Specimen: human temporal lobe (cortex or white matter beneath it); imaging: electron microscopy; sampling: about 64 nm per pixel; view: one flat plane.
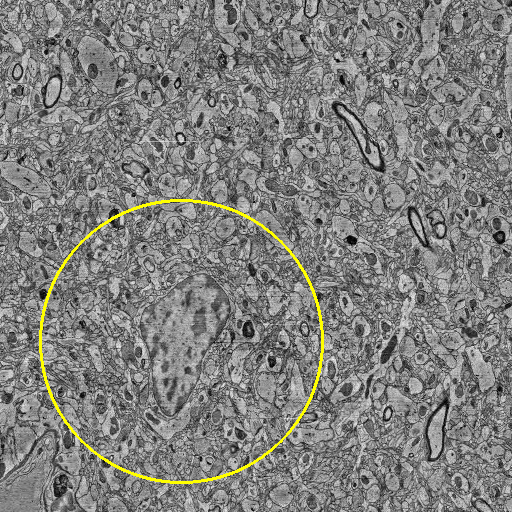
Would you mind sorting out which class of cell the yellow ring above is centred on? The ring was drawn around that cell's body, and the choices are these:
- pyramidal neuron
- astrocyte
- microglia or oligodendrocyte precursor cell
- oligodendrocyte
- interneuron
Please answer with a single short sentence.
This is the cell body of a microglial cell or oligodendrocyte precursor cell.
